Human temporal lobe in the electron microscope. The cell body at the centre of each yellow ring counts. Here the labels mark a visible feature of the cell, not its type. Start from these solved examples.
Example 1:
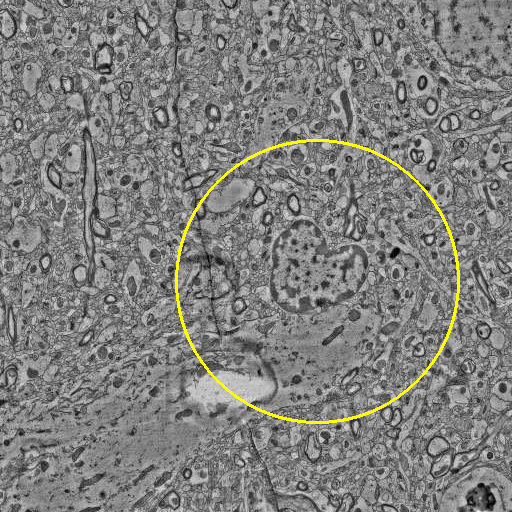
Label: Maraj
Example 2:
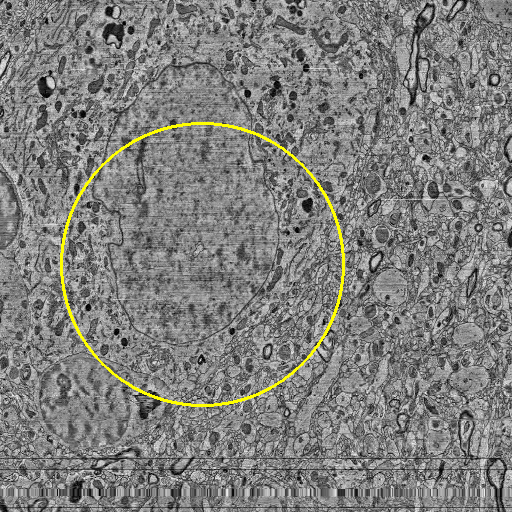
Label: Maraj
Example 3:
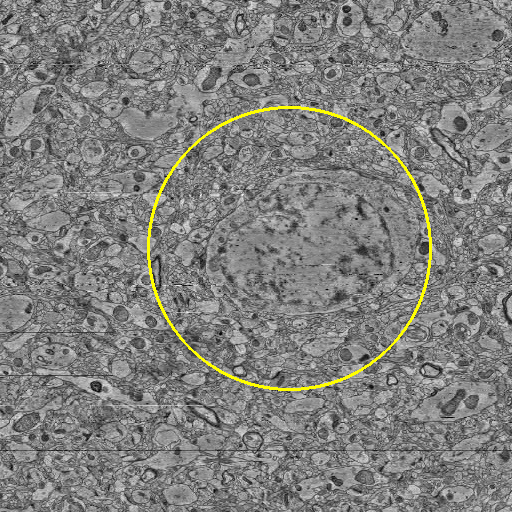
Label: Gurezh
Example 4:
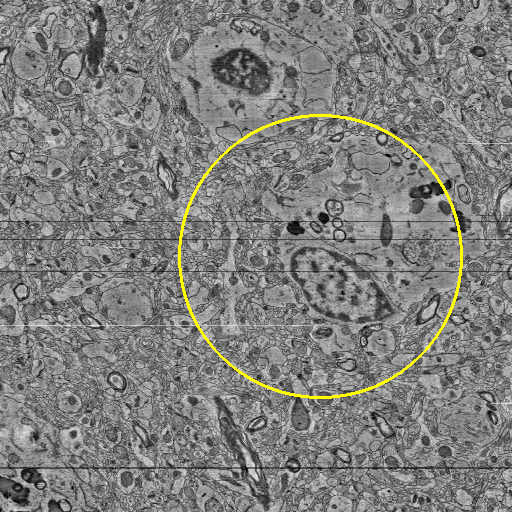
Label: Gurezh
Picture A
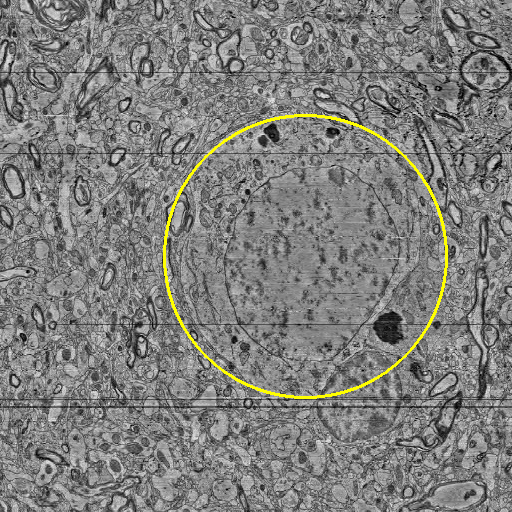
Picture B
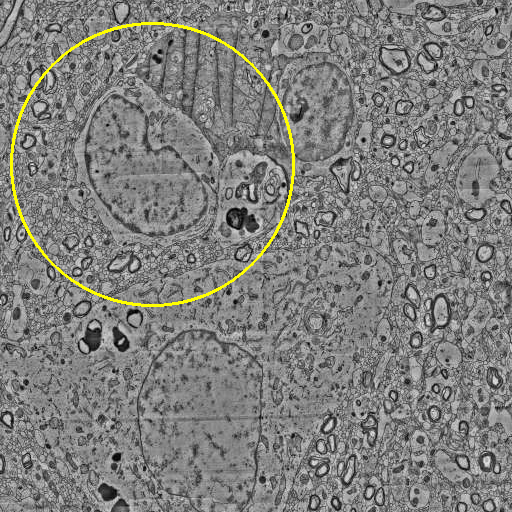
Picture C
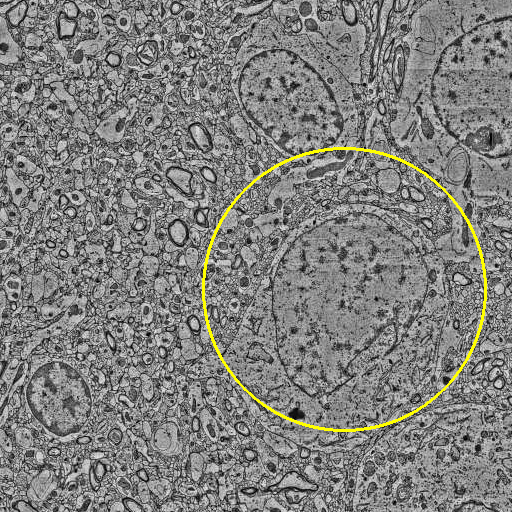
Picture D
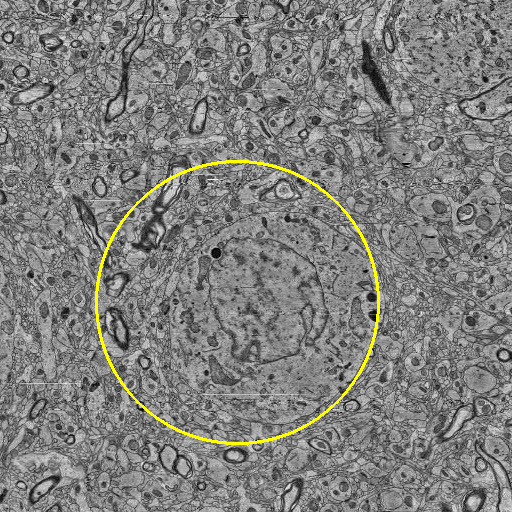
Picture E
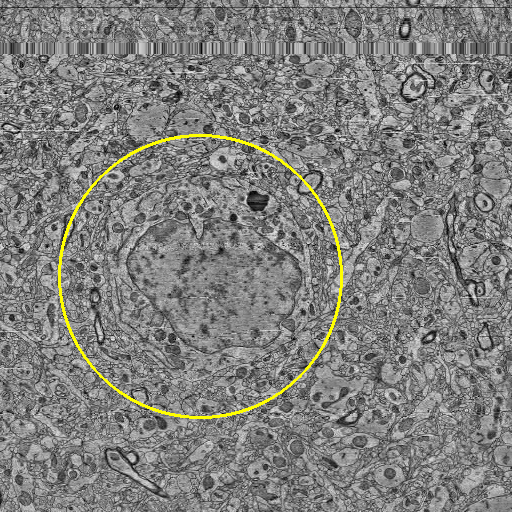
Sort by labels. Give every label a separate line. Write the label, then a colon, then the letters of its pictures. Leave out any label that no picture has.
Maraj: B, C, D, E
Gurezh: A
